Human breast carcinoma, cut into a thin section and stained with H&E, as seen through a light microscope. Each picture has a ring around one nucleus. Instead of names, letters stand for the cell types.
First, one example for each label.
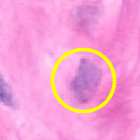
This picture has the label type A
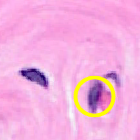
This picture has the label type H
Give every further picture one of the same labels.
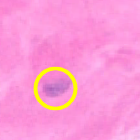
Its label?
type A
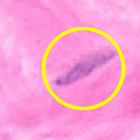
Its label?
type A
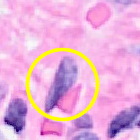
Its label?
type H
